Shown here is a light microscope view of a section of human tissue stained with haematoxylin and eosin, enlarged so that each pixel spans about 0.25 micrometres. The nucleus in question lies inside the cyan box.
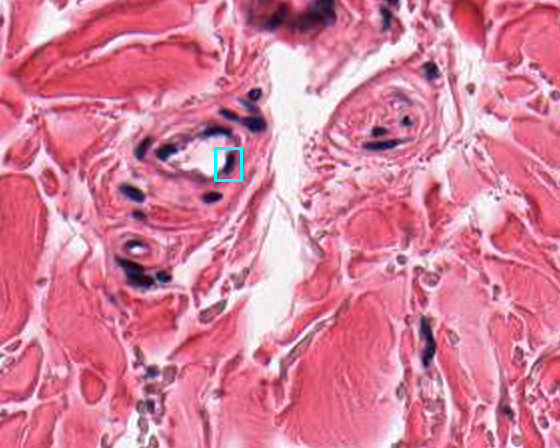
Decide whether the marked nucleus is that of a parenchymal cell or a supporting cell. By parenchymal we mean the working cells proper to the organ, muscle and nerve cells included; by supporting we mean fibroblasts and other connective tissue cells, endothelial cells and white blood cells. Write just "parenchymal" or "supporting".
supporting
